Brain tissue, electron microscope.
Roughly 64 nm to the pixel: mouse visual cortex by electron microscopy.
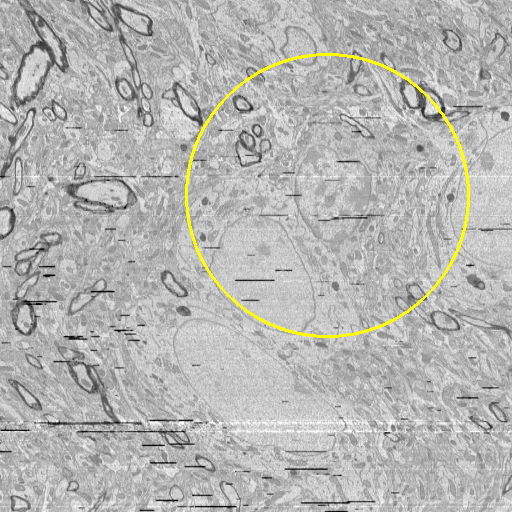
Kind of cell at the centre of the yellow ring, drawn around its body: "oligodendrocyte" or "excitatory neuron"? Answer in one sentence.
The ring's centre falls on an oligodendrocyte.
